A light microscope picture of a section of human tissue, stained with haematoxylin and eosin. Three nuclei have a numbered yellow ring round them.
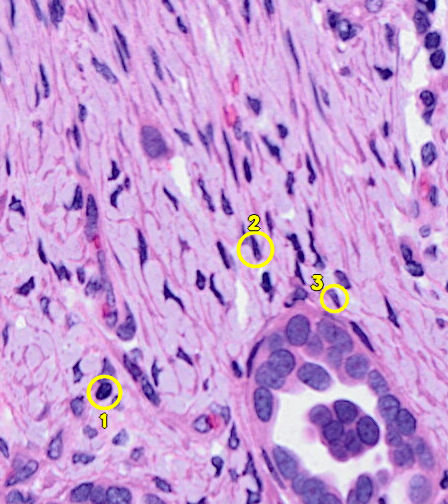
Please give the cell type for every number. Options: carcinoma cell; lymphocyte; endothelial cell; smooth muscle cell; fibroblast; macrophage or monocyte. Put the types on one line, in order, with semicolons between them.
lymphocyte; fibroblast; fibroblast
